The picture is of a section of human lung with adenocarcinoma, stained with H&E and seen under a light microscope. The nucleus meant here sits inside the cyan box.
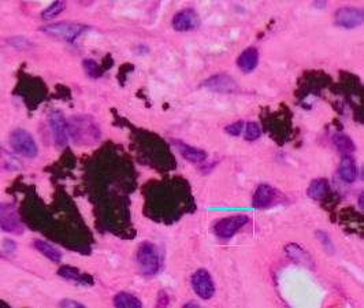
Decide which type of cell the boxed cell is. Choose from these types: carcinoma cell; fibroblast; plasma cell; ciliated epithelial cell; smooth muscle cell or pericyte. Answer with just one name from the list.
plasma cell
